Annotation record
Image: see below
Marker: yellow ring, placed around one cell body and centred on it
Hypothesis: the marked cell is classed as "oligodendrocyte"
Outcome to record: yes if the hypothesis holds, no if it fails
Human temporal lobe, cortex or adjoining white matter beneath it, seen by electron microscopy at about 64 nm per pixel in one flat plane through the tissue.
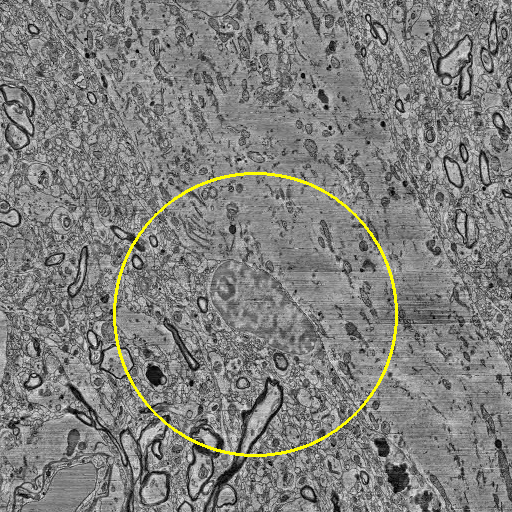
yes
